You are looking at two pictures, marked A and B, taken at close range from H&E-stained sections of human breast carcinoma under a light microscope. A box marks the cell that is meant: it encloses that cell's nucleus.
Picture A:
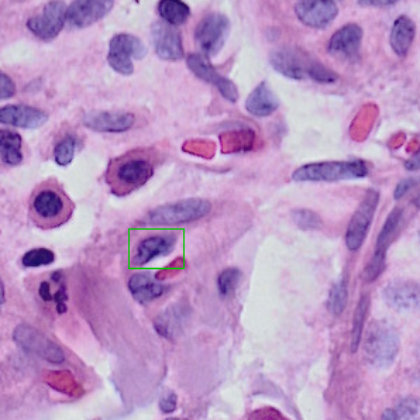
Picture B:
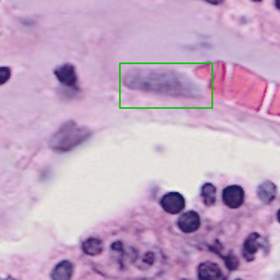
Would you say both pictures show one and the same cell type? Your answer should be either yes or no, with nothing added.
yes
